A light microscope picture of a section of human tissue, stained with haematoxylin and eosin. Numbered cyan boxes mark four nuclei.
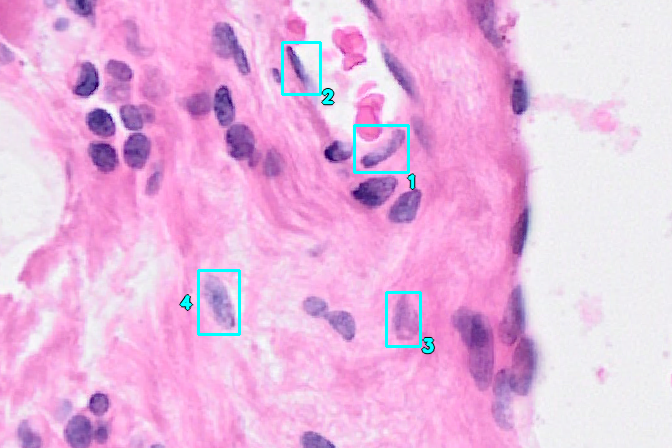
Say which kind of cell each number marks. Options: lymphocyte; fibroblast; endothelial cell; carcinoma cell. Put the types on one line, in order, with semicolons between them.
endothelial cell; endothelial cell; fibroblast; fibroblast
